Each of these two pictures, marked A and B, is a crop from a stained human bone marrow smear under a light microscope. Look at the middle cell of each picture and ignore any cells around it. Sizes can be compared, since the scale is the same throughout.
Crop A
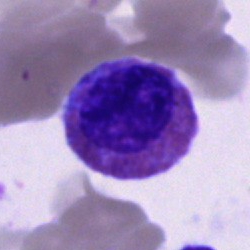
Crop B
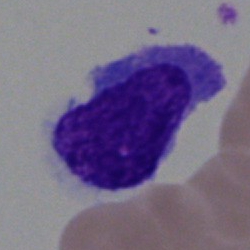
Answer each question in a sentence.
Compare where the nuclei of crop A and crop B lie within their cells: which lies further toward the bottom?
It is the nucleus in crop B that lies further toward the bottom of its cell.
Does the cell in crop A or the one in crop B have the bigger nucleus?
Crop B shows the larger nucleus; it covers about 1.5 times the area of the nucleus in crop A.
